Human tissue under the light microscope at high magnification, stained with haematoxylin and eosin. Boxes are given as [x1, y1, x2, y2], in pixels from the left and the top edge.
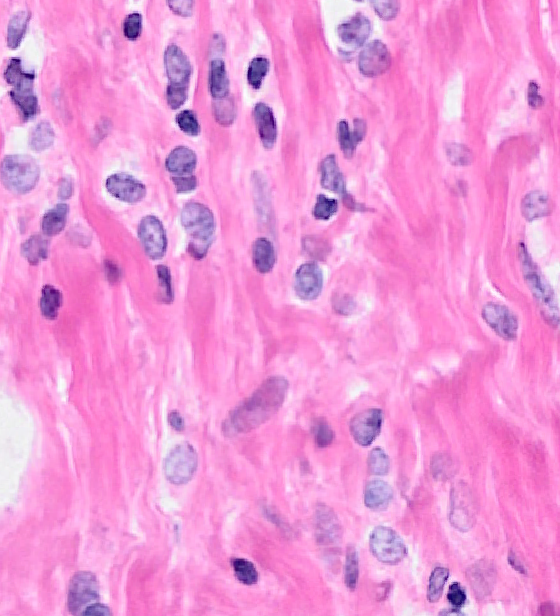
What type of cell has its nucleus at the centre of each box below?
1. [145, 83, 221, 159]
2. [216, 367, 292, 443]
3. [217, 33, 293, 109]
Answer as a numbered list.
1. lymphocyte
2. fibroblast
3. lymphocyte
